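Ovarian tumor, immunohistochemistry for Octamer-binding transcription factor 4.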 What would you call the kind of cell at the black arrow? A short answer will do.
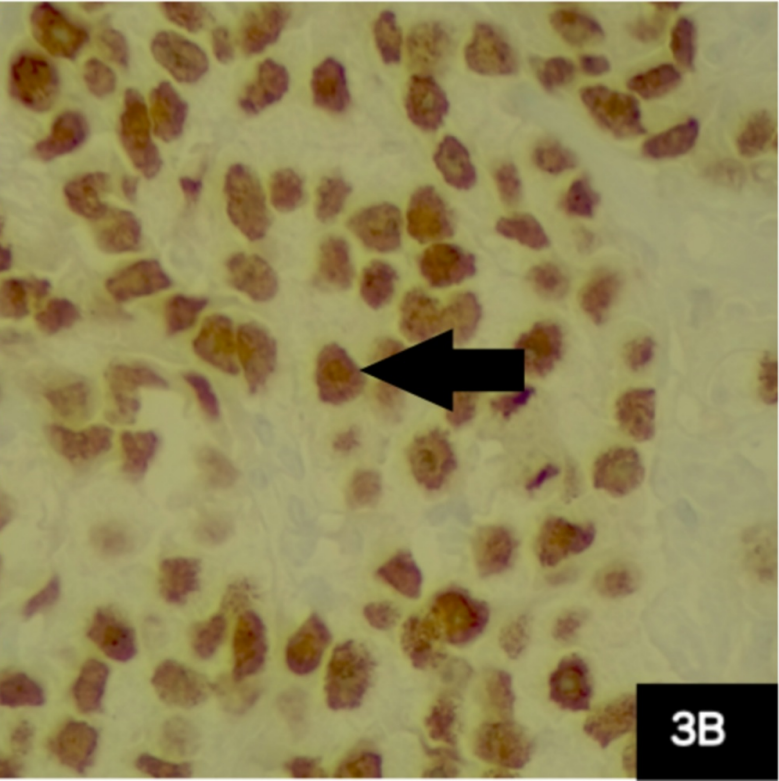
Germ cells.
